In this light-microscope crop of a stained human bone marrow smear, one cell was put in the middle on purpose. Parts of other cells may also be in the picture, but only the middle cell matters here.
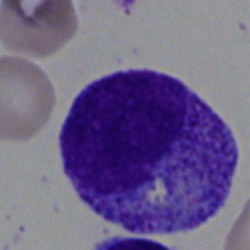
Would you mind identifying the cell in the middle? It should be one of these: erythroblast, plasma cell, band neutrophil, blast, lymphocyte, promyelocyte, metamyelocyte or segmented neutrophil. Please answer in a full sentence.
The middle cell in this particular crop is a promyelocyte.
